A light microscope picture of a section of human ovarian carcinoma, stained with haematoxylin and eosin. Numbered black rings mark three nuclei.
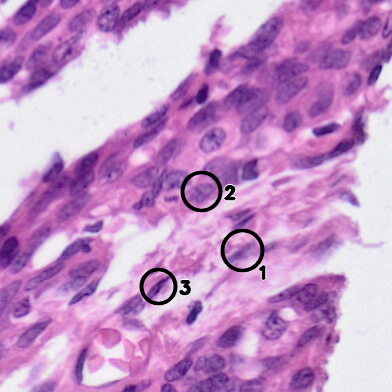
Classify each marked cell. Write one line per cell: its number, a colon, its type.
1: fibroblast
2: carcinoma cell
3: fibroblast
